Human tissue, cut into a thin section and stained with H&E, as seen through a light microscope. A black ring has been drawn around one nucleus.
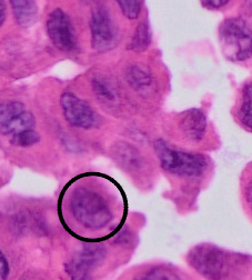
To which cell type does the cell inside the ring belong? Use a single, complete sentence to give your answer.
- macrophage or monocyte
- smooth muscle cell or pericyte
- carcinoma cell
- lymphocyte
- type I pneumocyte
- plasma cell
The cell type represented by the cell inside the ring is that of a carcinoma cell.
